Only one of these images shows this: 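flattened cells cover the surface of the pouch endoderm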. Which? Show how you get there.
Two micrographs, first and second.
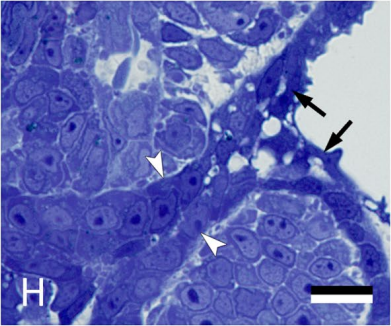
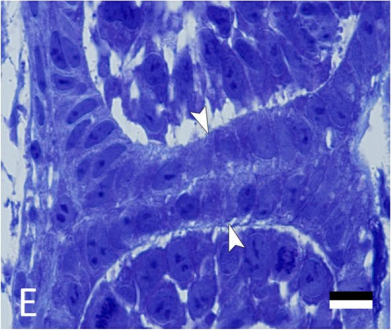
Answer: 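First image: thin, darkly stained flat cells cover the endoderm where a cleft opens. Second image: only two apposed rows of cuboidal cells, with no flat covering cells and no open cleft. The answer: the first image.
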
